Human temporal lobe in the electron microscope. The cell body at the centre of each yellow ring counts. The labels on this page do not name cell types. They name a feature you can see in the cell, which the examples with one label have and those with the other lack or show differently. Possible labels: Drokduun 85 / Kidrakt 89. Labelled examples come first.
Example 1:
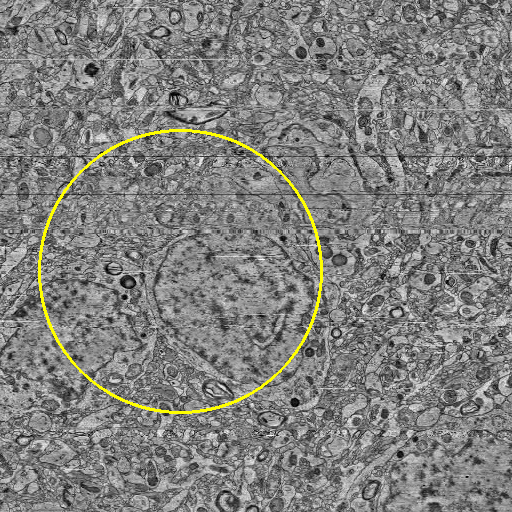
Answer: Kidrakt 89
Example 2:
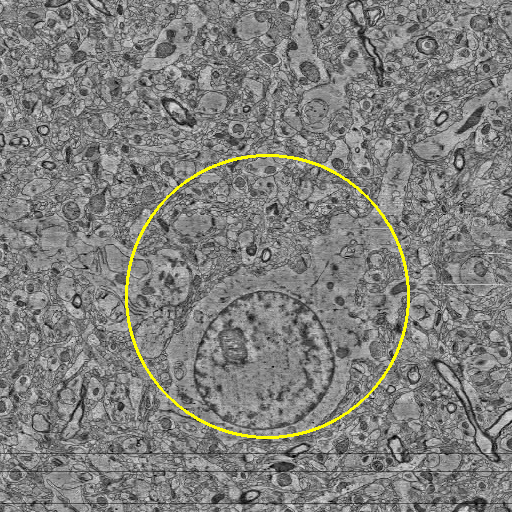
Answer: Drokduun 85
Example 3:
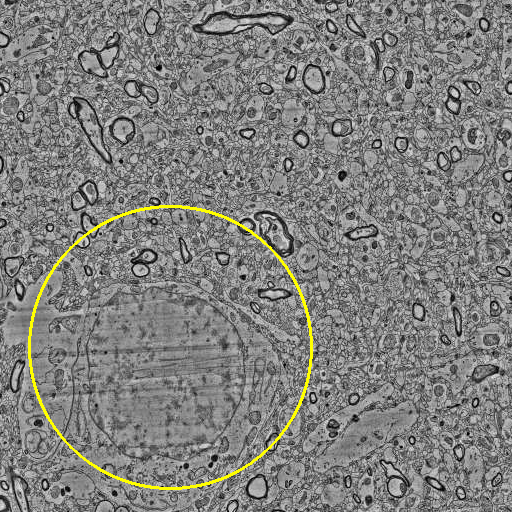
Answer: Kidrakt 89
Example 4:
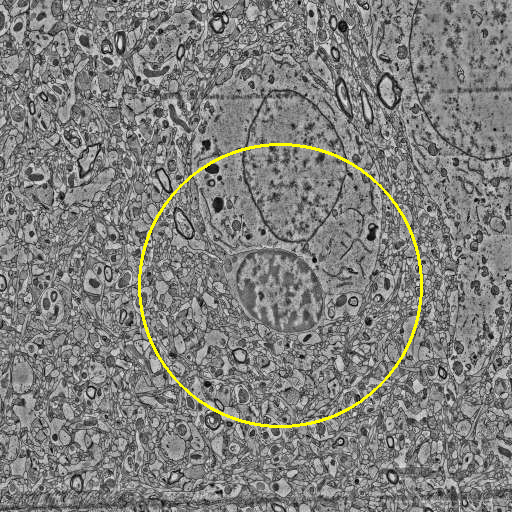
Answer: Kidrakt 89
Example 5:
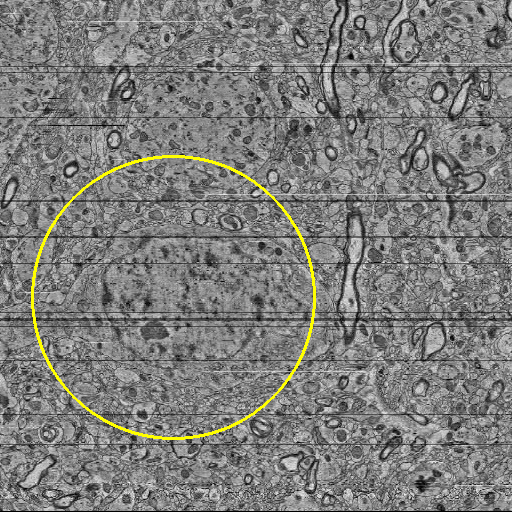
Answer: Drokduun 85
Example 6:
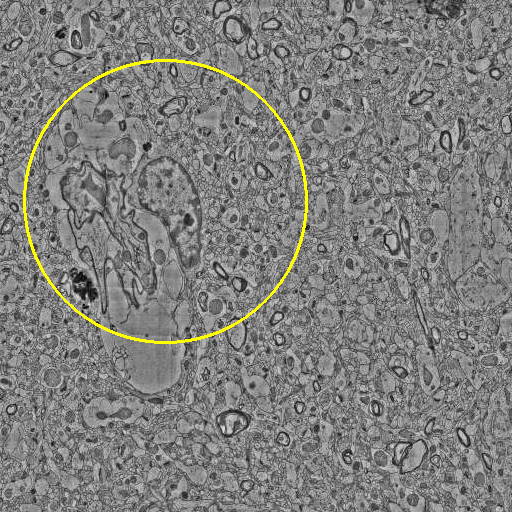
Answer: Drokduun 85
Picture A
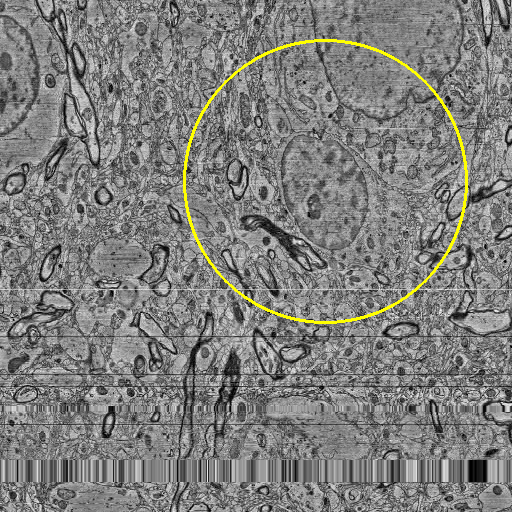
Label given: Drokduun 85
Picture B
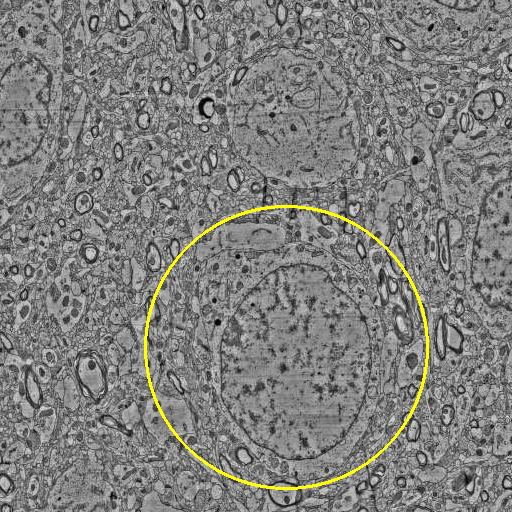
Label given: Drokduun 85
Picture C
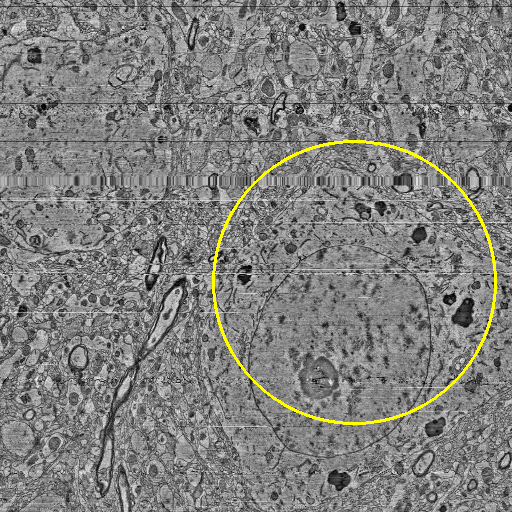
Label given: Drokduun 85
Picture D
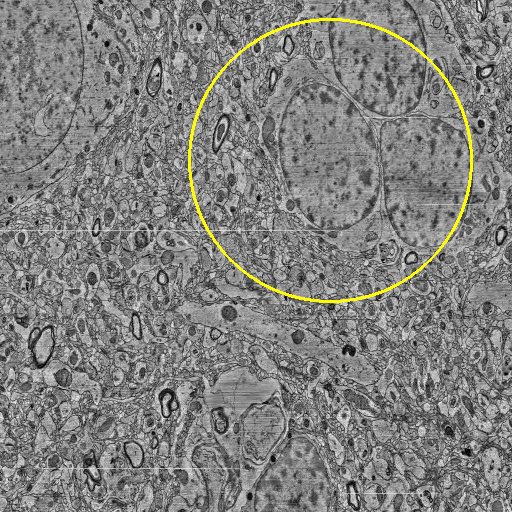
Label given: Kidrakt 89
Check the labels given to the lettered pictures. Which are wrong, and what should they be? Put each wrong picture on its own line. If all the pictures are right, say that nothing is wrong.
Wrong: B (Drokduun 85); correct: Kidrakt 89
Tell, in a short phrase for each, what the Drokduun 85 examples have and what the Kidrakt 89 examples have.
Drokduun 85: nucleolus seen; Kidrakt 89: no nucleolus seen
